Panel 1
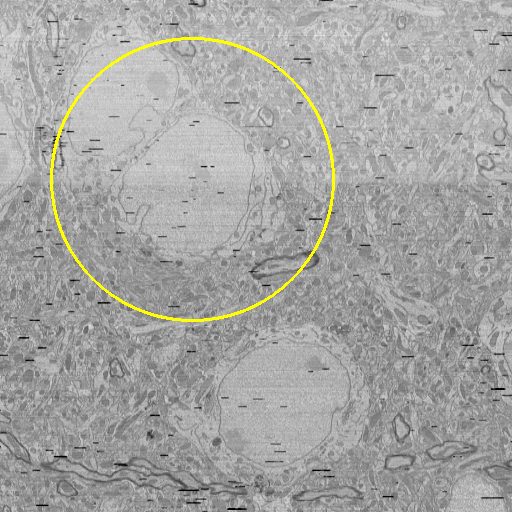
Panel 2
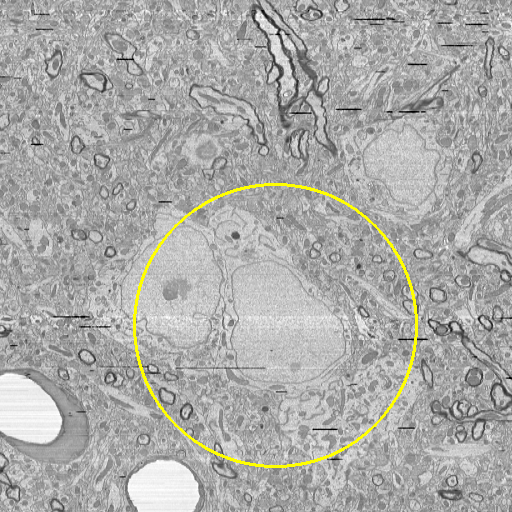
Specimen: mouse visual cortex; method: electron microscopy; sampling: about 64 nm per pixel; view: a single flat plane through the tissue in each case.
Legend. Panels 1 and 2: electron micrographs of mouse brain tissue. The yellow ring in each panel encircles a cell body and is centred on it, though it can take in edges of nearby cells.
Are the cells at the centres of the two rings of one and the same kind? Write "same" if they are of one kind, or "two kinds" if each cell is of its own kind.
two kinds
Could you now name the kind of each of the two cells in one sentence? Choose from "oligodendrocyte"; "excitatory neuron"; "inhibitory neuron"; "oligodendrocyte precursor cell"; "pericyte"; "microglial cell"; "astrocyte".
The first ring encloses an inhibitory neuron; the second ring encloses an excitatory neuron.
